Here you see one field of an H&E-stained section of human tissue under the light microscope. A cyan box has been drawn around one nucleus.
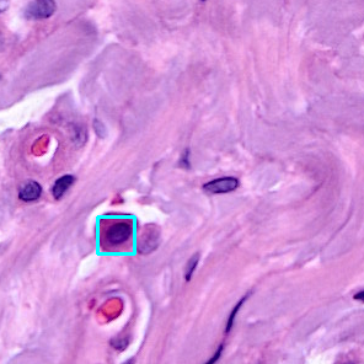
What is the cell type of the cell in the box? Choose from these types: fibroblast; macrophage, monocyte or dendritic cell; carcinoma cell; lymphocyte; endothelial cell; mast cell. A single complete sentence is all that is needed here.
So far as cell type goes, the cell in the box is a mast cell.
